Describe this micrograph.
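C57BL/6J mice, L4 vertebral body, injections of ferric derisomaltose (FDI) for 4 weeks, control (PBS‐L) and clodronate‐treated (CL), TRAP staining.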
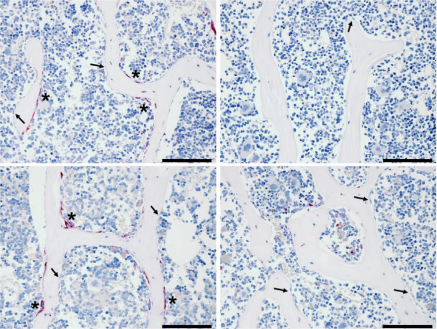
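The marrow spaces are packed with small cells whose nuclei stain blue. Along some bone surfaces, red-magenta stained cells lie flat against the bone; these are osteoclasts. Other stretches of bone surface are lined by unstained cells with blue nuclei, the osteoblasts.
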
